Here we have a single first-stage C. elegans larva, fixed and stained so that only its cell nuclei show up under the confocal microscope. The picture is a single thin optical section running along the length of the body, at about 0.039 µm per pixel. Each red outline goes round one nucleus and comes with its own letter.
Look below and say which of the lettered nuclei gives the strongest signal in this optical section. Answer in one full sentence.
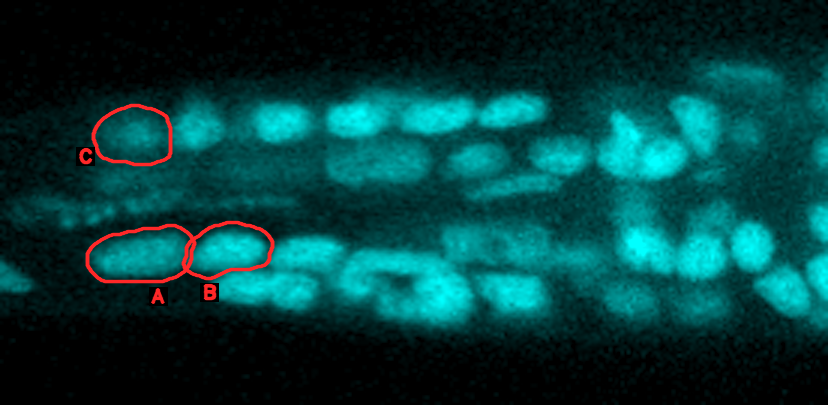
Of the marked nuclei, B takes up the stain most strongly.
